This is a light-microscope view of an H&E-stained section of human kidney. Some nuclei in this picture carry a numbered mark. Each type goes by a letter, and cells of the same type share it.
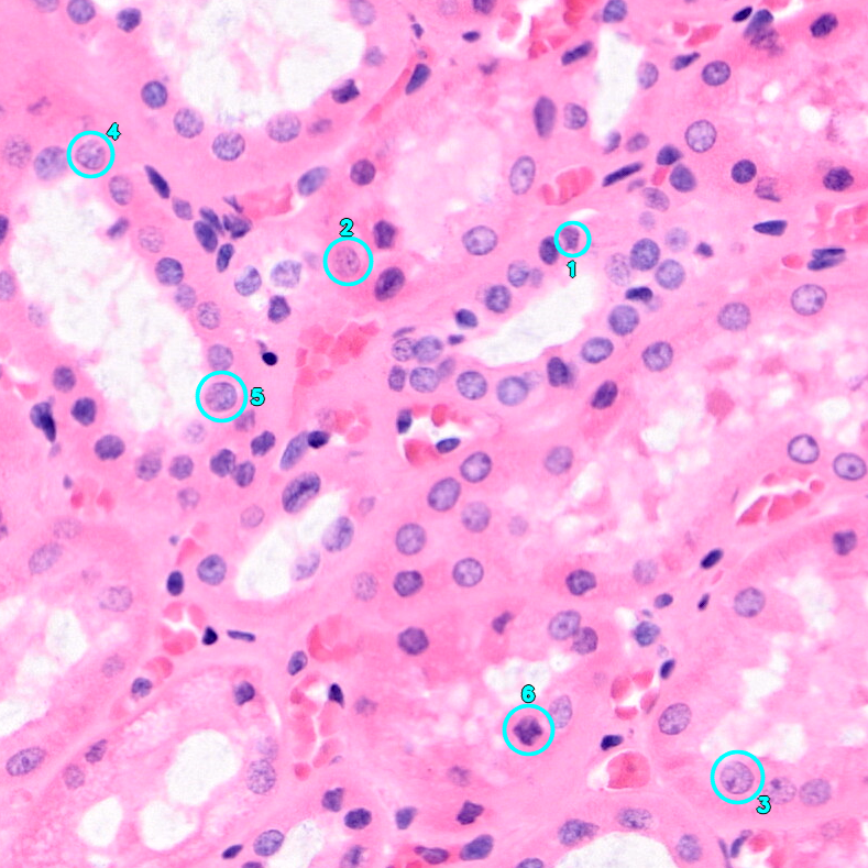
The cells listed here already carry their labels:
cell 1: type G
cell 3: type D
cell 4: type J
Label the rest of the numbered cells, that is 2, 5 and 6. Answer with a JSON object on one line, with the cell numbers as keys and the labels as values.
{"2": "type D", "5": "type J", "6": "type D"}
